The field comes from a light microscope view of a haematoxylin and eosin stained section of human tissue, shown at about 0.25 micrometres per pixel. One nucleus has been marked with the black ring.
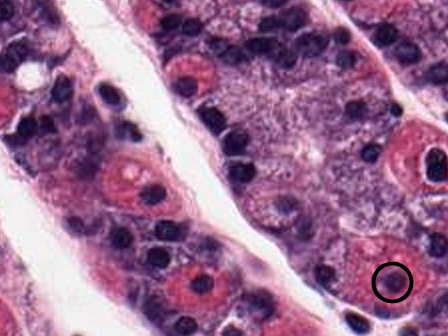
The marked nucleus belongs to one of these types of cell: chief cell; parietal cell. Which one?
parietal cell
